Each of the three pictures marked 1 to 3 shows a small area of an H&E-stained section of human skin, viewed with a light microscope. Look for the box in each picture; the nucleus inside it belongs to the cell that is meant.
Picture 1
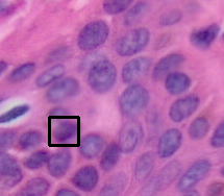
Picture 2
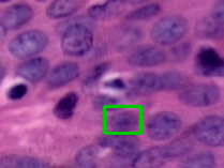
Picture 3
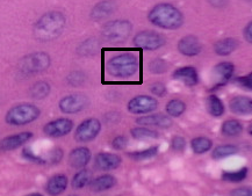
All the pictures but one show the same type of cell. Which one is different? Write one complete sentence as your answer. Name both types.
The others show basal keratinocytes, but picture 3 shows a suprabasal keratinocyte.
